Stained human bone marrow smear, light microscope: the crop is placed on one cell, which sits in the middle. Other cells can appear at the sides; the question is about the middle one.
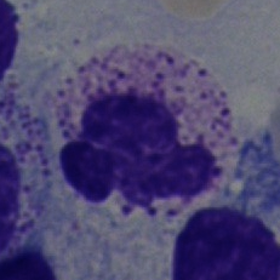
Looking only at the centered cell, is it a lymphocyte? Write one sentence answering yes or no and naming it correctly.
No, instead of being a lymphocyte, the middle cell is a basophil.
